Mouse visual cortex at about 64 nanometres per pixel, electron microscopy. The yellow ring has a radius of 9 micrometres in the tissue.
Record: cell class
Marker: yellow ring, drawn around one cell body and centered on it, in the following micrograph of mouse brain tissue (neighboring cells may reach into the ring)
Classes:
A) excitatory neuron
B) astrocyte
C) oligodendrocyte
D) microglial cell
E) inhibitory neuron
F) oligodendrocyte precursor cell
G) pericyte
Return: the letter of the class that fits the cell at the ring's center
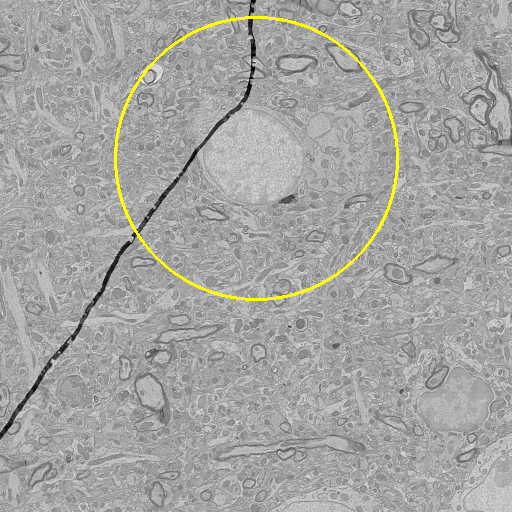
C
